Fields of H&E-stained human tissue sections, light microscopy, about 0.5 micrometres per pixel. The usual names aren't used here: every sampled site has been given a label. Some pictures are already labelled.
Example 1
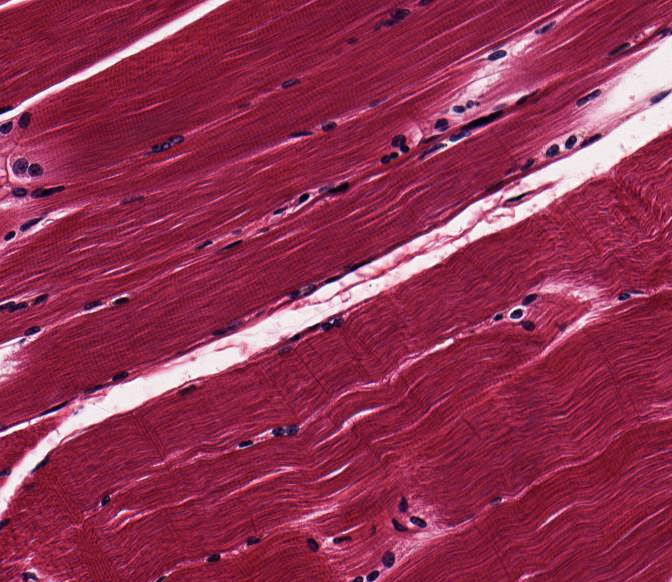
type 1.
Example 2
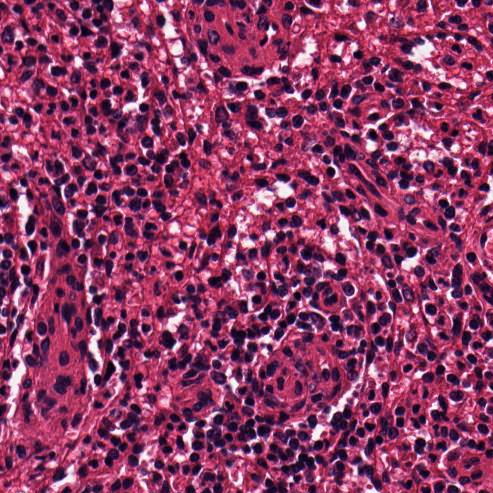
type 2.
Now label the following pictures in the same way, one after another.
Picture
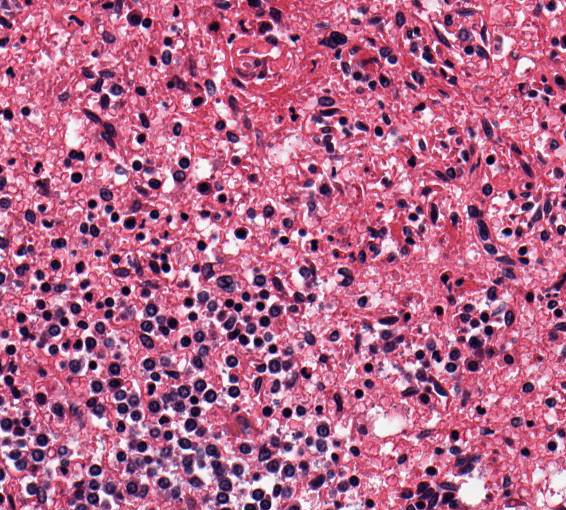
type 2.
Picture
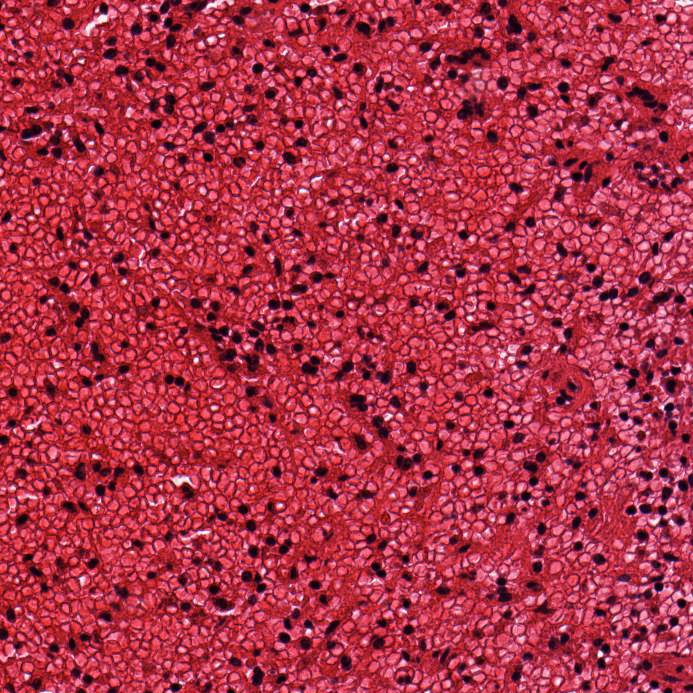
type 2.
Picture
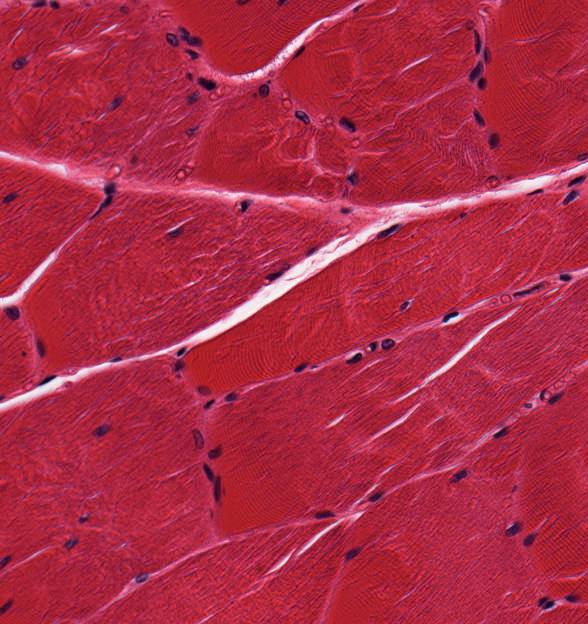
type 1.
